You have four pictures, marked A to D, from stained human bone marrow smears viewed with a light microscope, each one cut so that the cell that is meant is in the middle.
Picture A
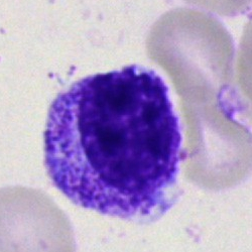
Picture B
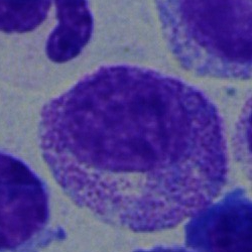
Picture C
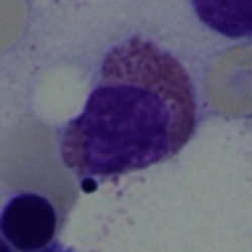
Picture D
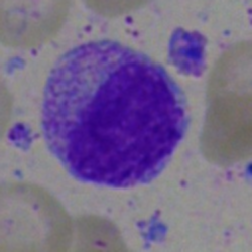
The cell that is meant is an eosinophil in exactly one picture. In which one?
C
